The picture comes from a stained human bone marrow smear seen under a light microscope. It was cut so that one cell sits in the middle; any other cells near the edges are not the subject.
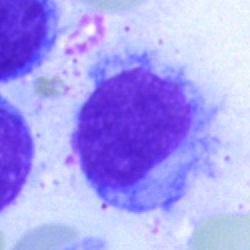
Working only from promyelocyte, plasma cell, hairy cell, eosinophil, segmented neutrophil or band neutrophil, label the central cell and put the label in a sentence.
Present in the middle of the crop is a hairy cell.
